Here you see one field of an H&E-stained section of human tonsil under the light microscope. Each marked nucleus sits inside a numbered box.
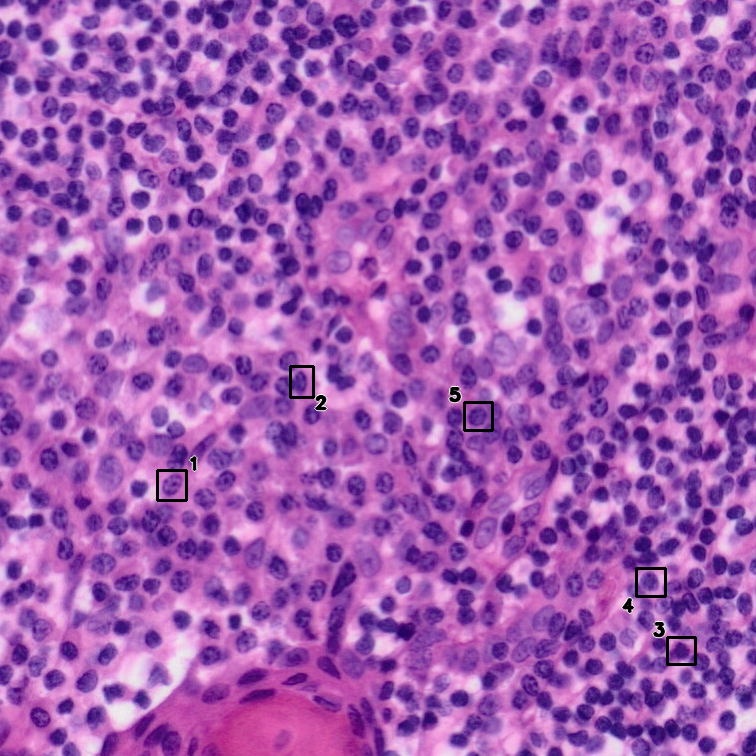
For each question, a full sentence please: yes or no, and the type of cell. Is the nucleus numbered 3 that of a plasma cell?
No, cell 3, which is a small lymphocyte, is not a plasma cell.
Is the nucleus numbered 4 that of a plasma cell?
No, cell 4 is to be read as a small lymphocyte, not a plasma cell.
